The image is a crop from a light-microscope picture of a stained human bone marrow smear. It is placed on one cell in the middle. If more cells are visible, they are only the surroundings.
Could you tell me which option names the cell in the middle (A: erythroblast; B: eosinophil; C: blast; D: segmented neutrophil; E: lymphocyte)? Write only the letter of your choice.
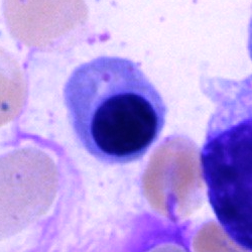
A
